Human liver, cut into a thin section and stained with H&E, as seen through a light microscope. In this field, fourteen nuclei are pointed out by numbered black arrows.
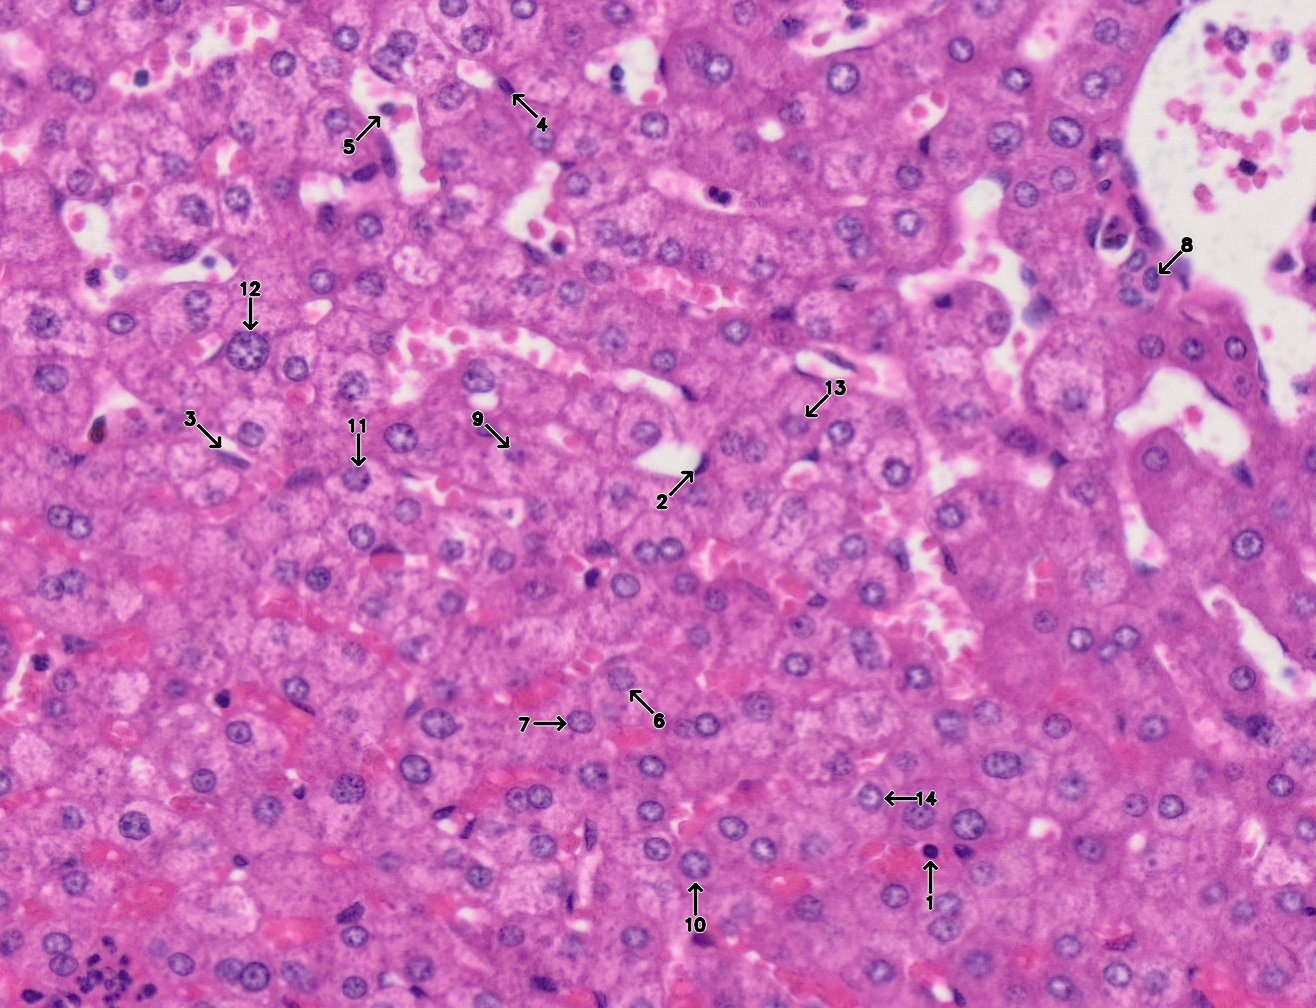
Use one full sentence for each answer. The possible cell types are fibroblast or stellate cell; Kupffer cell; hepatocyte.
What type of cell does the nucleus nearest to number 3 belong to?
The cell nearest to number 3 is a hepatocyte.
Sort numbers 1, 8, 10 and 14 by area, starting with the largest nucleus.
Going from the biggest nucleus down to the smallest gives 10, 14, 8, 1.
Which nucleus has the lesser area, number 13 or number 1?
It is nucleus 1; nucleus 13 has about 2.5 times its area.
